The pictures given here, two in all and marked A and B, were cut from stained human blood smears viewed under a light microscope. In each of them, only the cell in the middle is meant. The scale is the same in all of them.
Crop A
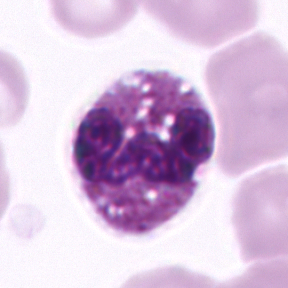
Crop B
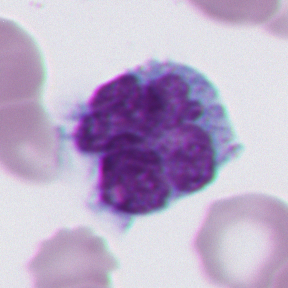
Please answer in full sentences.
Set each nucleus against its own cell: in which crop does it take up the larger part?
The nucleus fills more of the cell in crop B than in crop A.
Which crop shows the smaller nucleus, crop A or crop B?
It is the nucleus in crop A; the one in crop B has about 2 times its area.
